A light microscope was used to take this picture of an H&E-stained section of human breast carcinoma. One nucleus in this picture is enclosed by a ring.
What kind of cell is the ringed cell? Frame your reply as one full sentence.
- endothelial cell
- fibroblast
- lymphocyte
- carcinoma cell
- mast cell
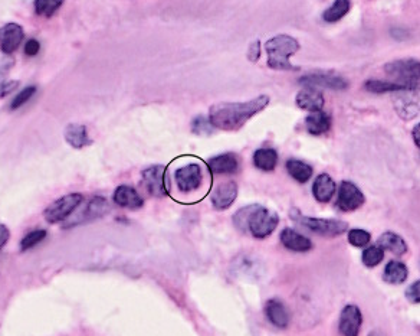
What the ringed cell represents is a lymphocyte.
